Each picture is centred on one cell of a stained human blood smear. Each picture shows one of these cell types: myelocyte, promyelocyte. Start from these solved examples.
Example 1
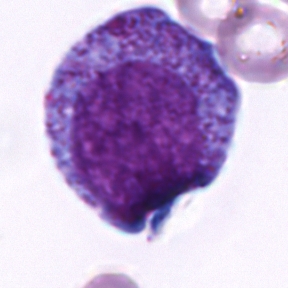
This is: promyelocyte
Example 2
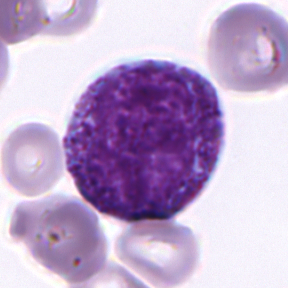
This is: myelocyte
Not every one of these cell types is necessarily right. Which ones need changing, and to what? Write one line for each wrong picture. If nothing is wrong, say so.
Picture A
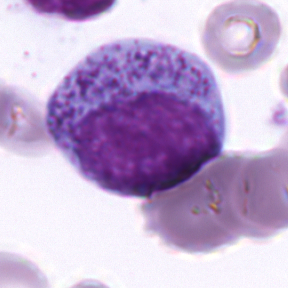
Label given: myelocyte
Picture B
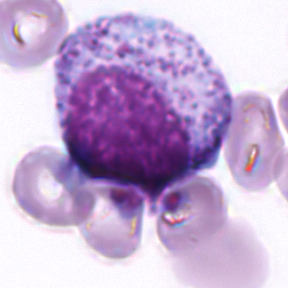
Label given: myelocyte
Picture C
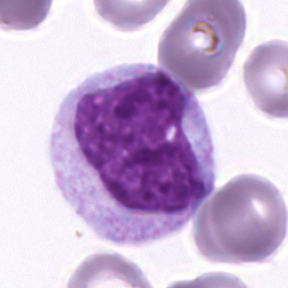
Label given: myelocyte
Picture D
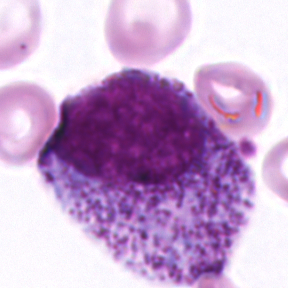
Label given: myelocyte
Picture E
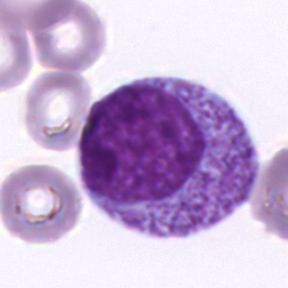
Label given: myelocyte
None of the labels needs changing.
